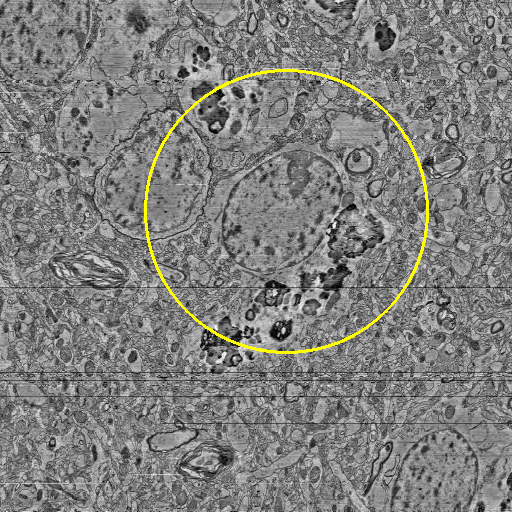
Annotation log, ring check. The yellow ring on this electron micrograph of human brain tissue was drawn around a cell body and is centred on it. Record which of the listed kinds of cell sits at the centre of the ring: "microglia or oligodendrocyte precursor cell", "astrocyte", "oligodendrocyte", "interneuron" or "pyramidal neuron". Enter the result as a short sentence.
The cell at the centre of the ring is an astrocyte.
